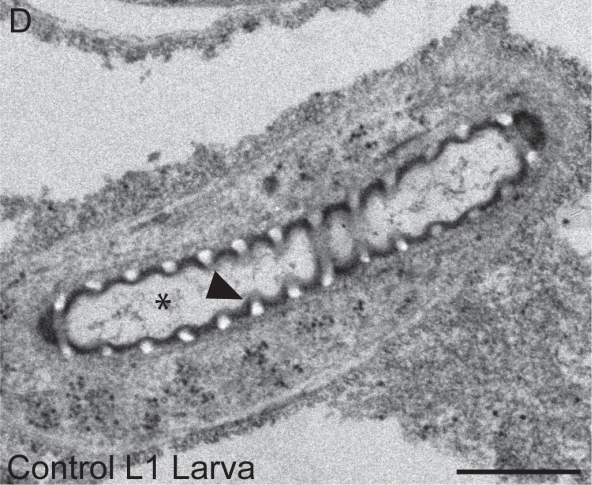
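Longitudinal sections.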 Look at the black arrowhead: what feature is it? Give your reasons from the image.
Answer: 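Taenidium. The arrowhead touches a ridge of the dark lining that edges the lumen. Pale spots sit at regular intervals along the dark lining.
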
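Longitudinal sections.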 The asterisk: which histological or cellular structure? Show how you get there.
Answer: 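The asterisk lies in a pale, elongated space of even width. The space is bounded by a continuous dark lining.
Conclusion: tubes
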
